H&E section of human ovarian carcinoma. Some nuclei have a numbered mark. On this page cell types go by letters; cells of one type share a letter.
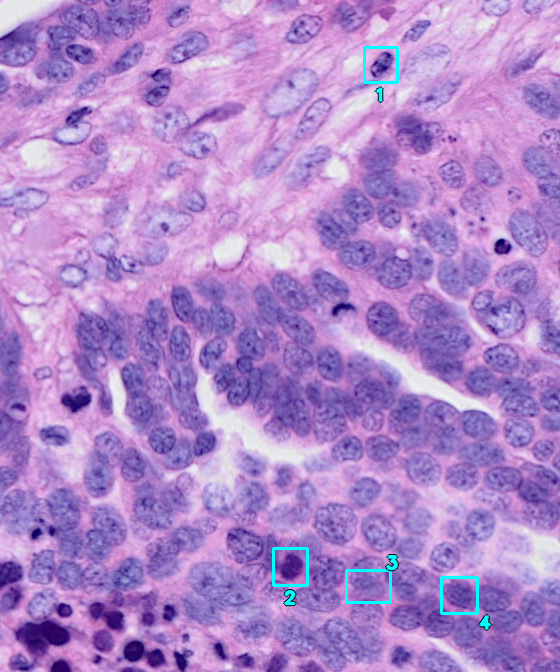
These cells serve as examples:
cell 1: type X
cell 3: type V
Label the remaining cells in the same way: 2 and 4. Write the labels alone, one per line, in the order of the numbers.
type V
type V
